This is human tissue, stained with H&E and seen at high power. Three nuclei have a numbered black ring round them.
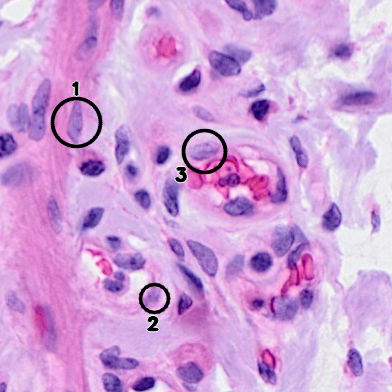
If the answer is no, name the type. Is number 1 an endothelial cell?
No, it is a smooth muscle cell.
